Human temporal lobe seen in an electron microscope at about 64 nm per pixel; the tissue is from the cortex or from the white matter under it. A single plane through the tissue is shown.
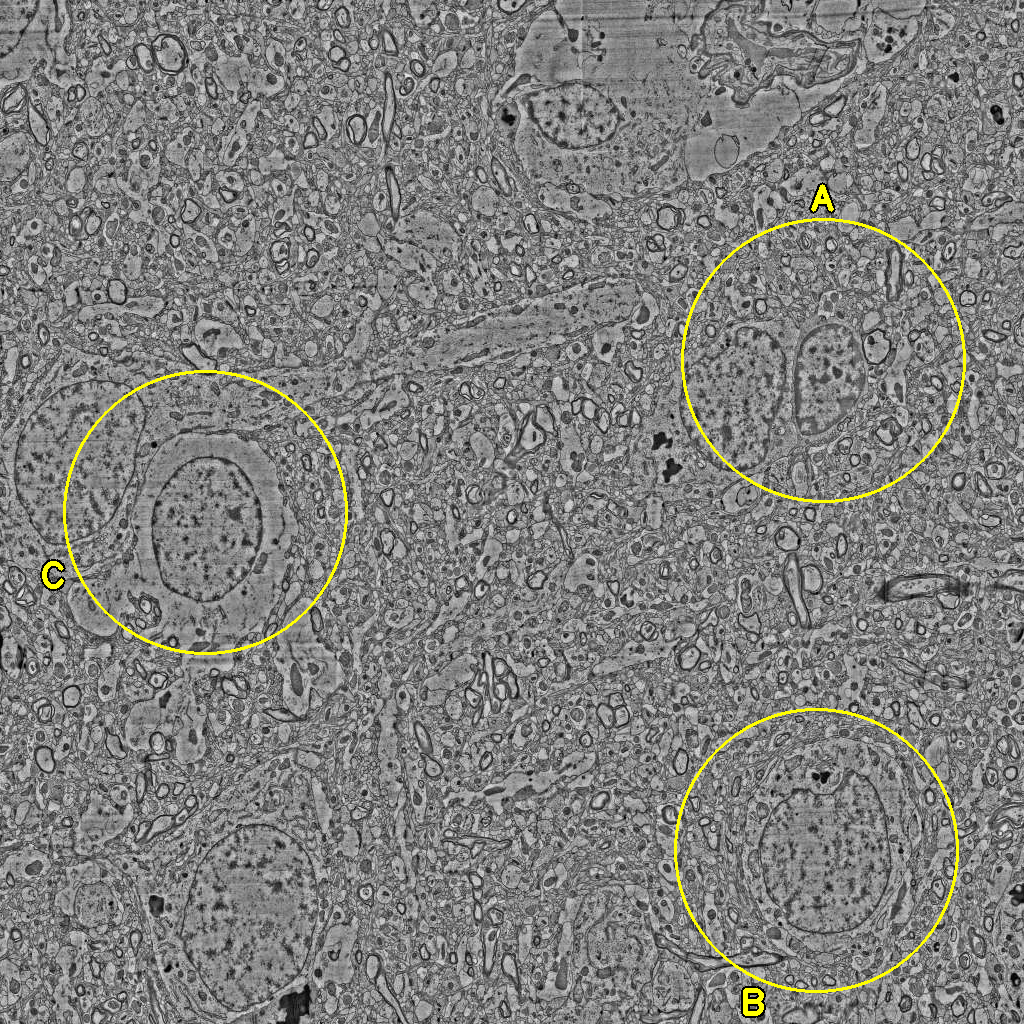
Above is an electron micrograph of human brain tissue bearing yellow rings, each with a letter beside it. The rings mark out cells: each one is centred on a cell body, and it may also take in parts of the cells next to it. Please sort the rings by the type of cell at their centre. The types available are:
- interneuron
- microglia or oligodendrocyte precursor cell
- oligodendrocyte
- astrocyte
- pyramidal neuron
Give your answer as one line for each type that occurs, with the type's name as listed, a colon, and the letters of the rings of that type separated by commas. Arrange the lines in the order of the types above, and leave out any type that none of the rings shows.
oligodendrocyte: A
astrocyte: C
pyramidal neuron: B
